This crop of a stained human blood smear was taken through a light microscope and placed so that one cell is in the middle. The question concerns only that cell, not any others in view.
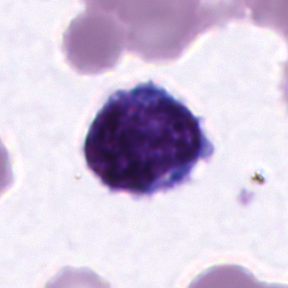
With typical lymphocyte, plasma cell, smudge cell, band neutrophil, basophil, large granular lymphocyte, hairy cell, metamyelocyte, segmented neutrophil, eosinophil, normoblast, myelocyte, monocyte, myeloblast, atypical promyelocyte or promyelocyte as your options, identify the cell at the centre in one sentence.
On this slide crop, the central cell is a plasma cell.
